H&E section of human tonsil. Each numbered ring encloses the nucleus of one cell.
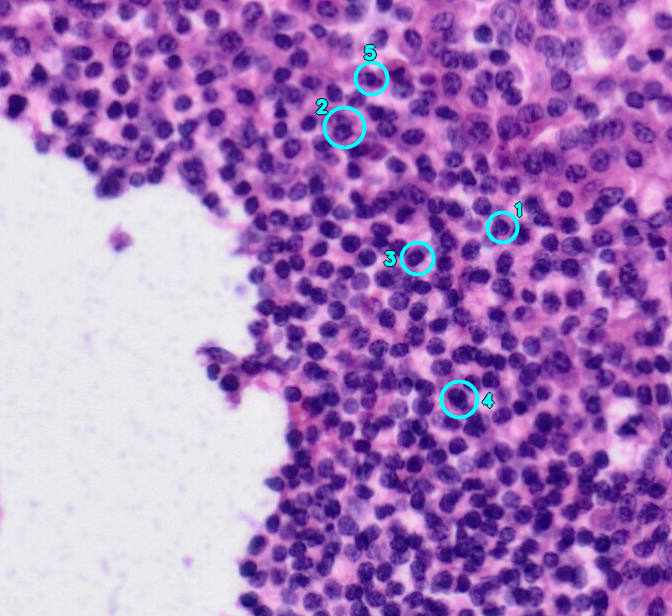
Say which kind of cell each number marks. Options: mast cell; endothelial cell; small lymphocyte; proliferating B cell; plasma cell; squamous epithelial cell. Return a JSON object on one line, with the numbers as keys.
{"1": "small lymphocyte", "2": "plasma cell", "3": "small lymphocyte", "4": "small lymphocyte", "5": "plasma cell"}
